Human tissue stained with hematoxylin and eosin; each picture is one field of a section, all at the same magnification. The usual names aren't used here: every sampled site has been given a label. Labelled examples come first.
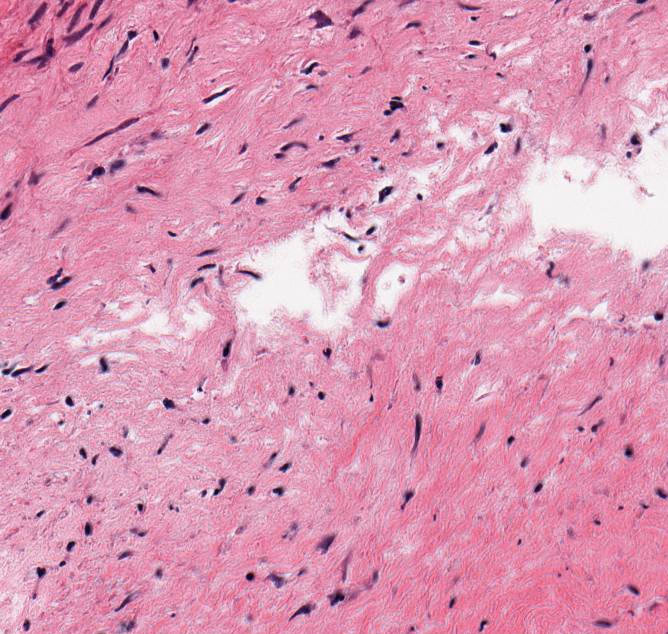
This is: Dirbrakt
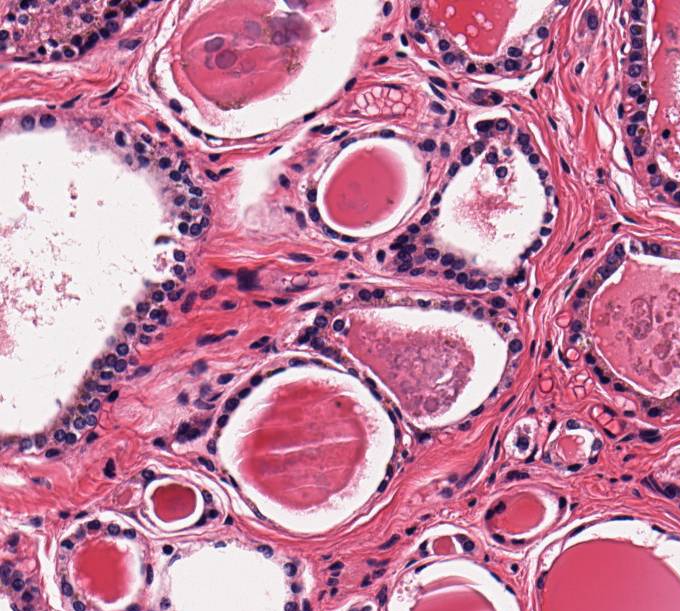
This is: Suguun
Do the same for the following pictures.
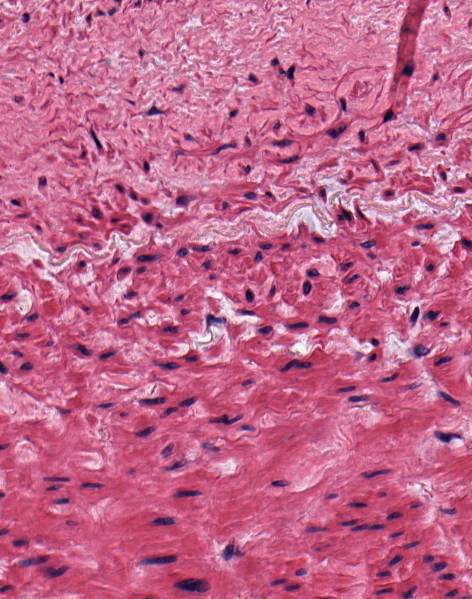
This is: Dirbrakt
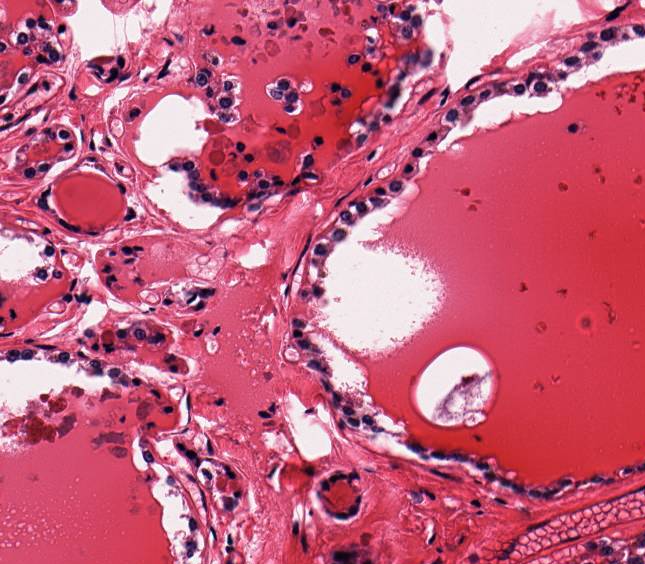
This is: Suguun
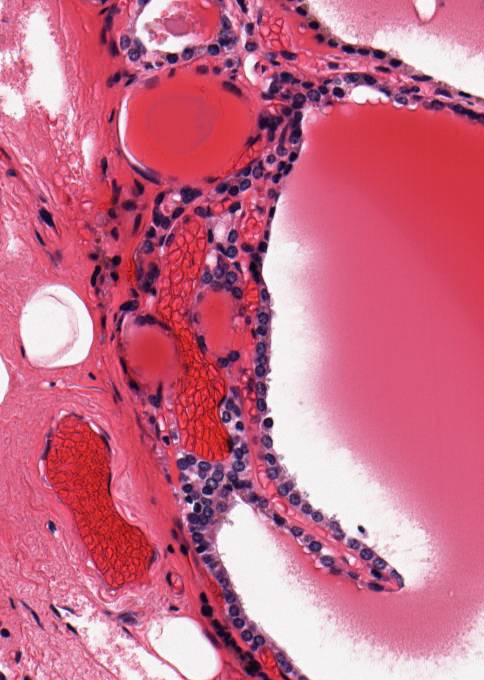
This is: Suguun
